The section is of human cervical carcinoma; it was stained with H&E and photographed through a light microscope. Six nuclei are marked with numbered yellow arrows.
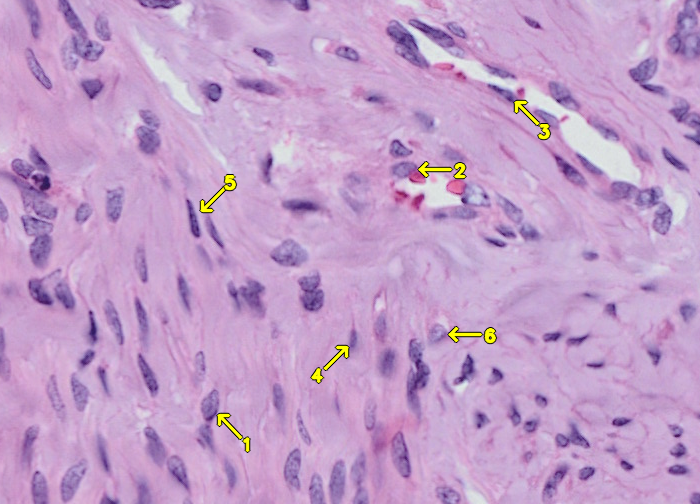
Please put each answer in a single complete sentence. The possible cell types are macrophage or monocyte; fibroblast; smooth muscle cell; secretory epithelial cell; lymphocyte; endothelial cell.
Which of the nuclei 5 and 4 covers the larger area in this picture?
Nucleus 5 is larger, with an area about 2 times that of nucleus 4.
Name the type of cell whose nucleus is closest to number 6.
The cell nearest to number 6 is a fibroblast.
